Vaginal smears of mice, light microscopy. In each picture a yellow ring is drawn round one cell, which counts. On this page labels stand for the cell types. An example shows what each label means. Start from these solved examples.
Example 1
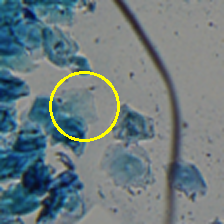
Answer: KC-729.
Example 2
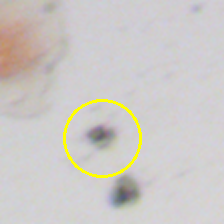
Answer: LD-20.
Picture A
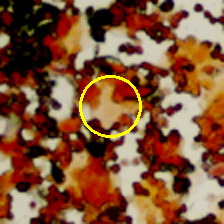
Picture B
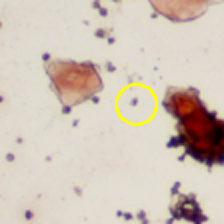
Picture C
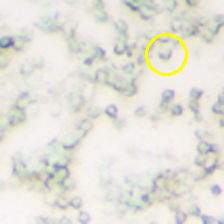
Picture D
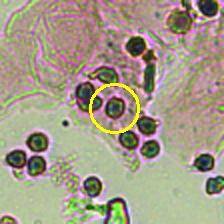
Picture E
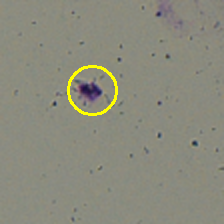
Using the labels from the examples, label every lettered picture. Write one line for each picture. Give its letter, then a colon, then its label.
A: KC-729.
B: LD-20.
C: LD-20.
D: LD-20.
E: LD-20.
